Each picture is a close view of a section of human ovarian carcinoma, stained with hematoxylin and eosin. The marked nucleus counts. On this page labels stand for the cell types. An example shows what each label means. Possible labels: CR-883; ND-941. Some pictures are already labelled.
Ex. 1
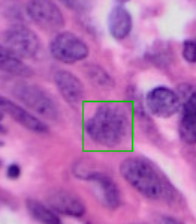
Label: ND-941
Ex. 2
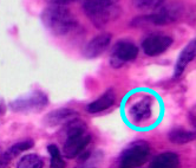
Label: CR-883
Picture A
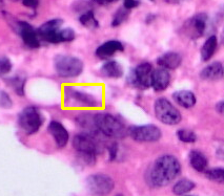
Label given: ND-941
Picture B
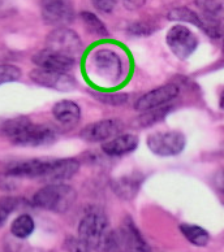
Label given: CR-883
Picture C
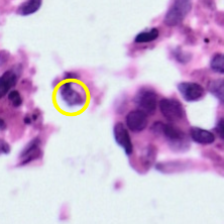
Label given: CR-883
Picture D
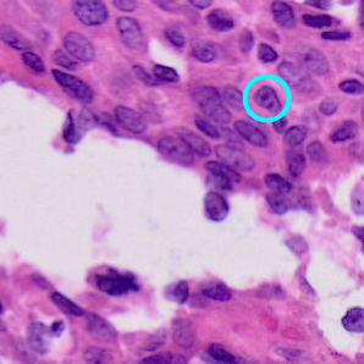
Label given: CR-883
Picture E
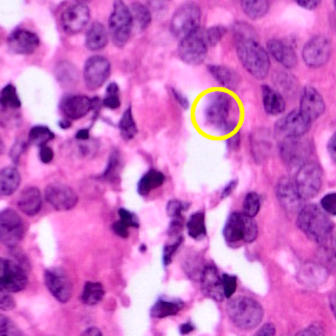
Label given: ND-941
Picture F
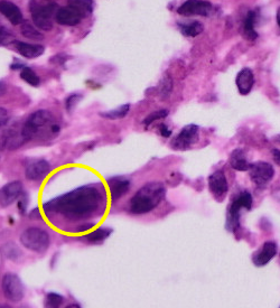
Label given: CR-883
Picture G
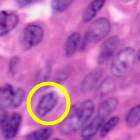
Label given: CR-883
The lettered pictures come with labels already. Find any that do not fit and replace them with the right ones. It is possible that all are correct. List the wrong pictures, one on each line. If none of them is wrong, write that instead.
F: change CR-883 to ND-941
